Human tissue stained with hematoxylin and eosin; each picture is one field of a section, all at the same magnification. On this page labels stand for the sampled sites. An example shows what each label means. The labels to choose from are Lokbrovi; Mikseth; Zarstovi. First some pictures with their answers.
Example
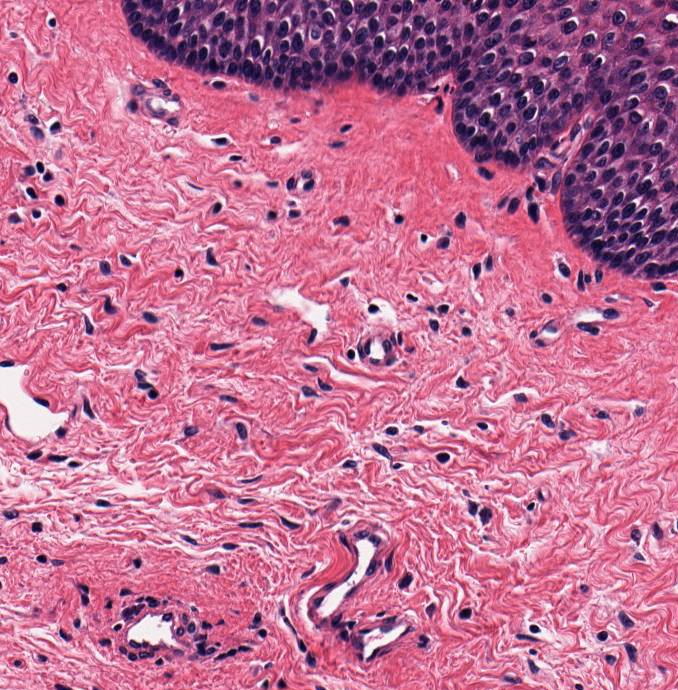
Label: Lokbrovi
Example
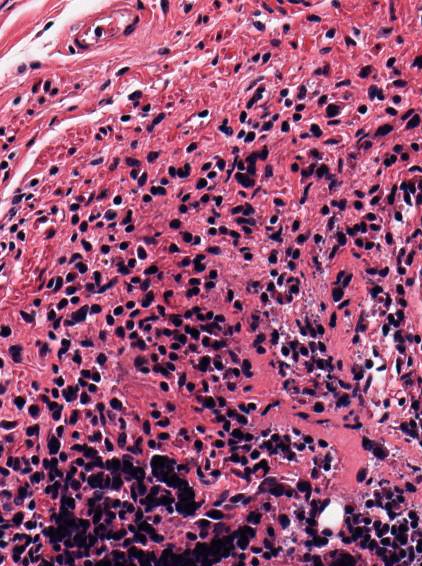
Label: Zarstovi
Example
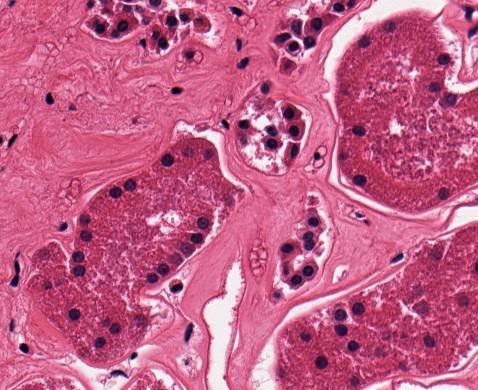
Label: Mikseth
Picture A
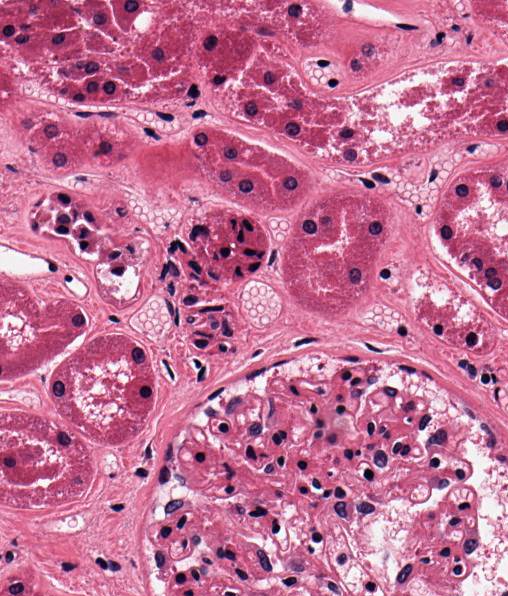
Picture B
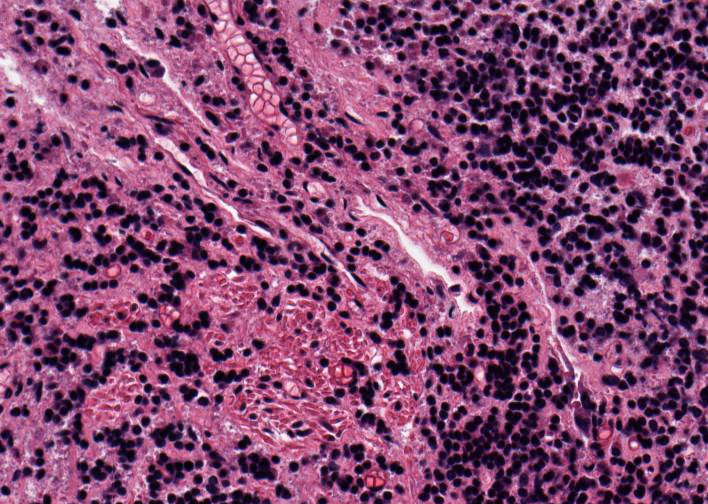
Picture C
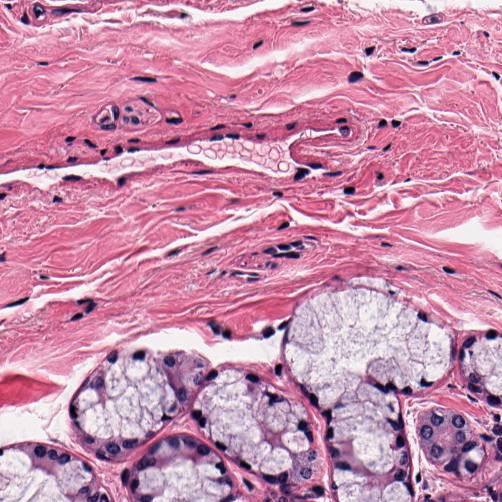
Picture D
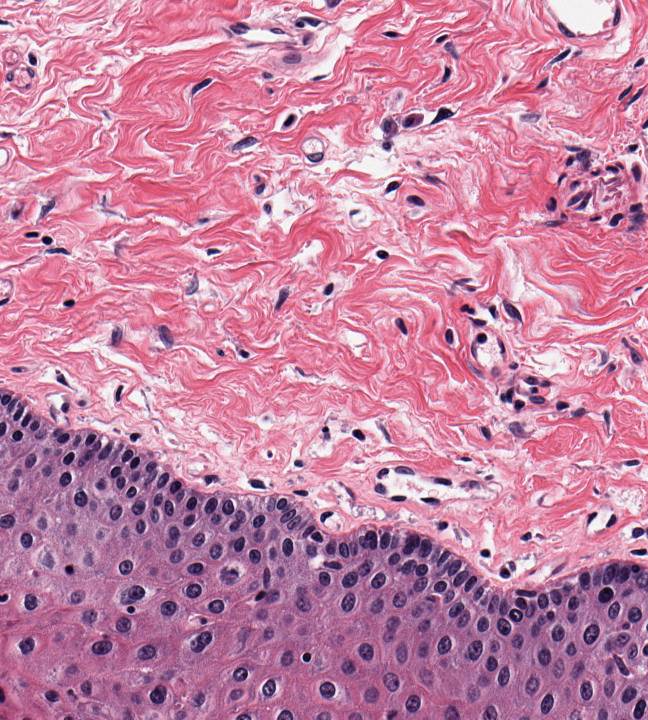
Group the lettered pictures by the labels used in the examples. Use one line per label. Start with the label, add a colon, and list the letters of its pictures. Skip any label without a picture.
Lokbrovi: C, D
Mikseth: A
Zarstovi: B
